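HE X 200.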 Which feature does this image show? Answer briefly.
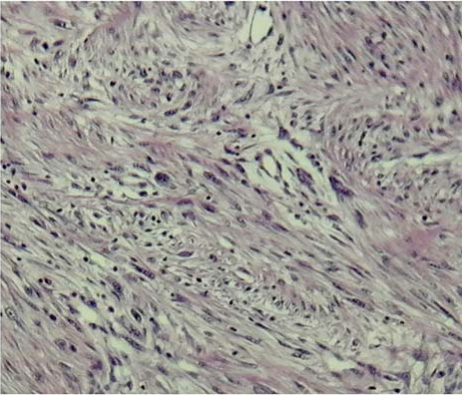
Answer: Interlacing bundles.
